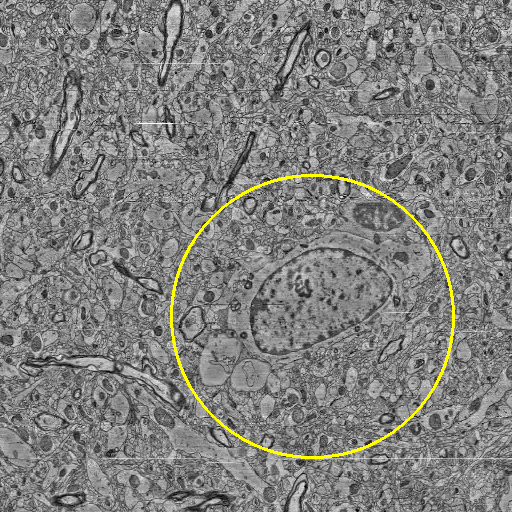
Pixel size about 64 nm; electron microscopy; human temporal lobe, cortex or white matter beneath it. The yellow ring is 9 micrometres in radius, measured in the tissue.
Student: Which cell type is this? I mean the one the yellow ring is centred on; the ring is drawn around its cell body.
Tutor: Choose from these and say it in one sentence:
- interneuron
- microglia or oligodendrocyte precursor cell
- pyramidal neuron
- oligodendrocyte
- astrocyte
The cell the ring is centred on is a microglial cell or oligodendrocyte precursor cell.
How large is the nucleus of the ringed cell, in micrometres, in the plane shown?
In this plane the nucleus is clearly longer than it is wide: roughly 9 by 6 micrometres.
